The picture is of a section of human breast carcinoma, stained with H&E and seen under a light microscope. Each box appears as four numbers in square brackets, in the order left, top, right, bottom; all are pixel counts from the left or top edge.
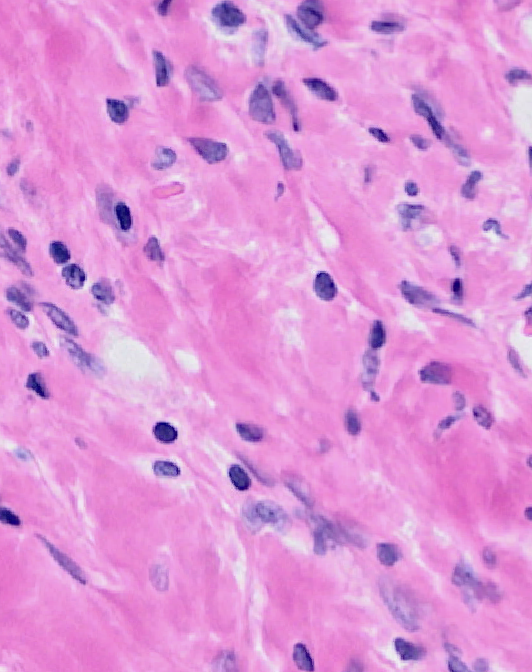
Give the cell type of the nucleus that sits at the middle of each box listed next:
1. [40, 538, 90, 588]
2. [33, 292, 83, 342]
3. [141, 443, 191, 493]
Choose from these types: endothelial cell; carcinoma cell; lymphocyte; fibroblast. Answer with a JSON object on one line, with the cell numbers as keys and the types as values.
{"1": "fibroblast", "2": "endothelial cell", "3": "lymphocyte"}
